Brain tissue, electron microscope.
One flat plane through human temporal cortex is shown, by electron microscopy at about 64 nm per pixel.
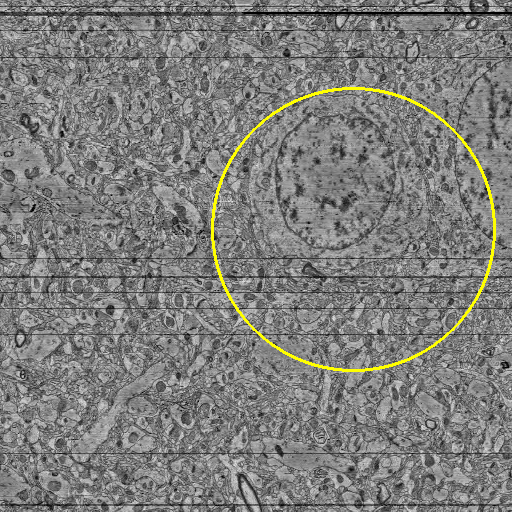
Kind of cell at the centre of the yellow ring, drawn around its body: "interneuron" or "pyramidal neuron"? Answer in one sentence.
The ring's centre falls on a pyramidal neuron.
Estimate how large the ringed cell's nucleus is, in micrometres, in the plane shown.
Roughly 9 by 8 micrometres in this plane, for the nucleus of the ringed cell.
